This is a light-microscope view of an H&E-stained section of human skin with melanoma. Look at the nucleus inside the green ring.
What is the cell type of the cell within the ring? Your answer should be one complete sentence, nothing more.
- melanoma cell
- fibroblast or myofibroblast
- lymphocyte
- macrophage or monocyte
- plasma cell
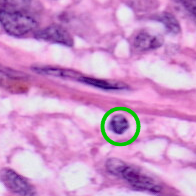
In cellular terms, the cell within the ring is a lymphocyte.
